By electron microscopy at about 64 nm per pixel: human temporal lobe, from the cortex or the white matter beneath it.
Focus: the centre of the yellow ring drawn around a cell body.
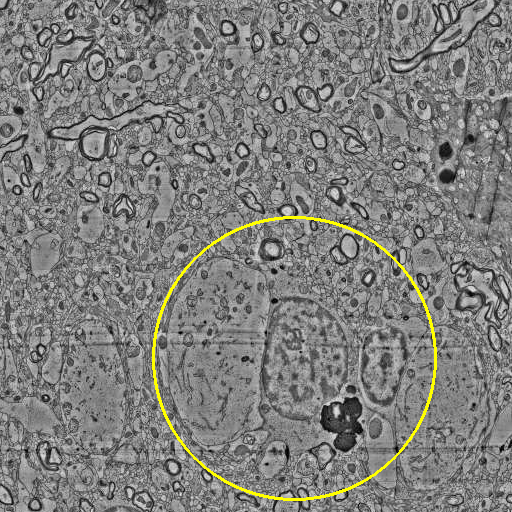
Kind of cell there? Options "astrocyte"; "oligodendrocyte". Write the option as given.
oligodendrocyte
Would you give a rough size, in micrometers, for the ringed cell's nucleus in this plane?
The nucleus of the ringed cell is approximately 8 by 6 micrometres in this plane.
